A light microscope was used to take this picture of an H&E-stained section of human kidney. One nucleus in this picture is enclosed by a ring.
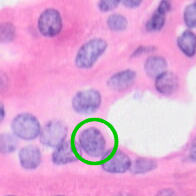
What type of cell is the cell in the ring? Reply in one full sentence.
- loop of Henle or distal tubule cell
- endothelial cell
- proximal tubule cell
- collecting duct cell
Placed in its cell category, the cell in the ring is a collecting duct cell.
